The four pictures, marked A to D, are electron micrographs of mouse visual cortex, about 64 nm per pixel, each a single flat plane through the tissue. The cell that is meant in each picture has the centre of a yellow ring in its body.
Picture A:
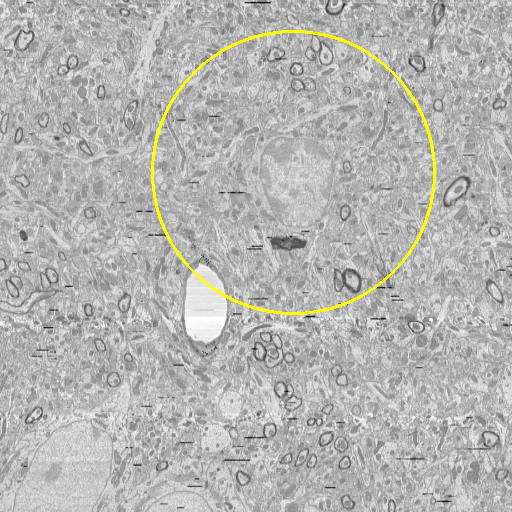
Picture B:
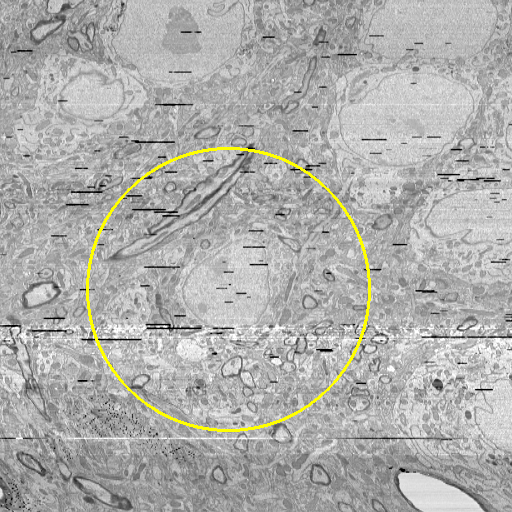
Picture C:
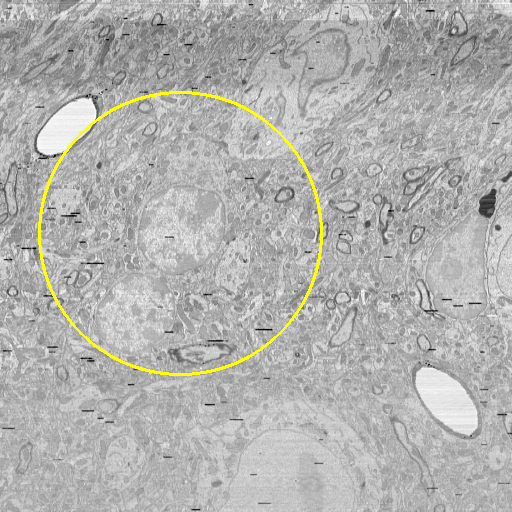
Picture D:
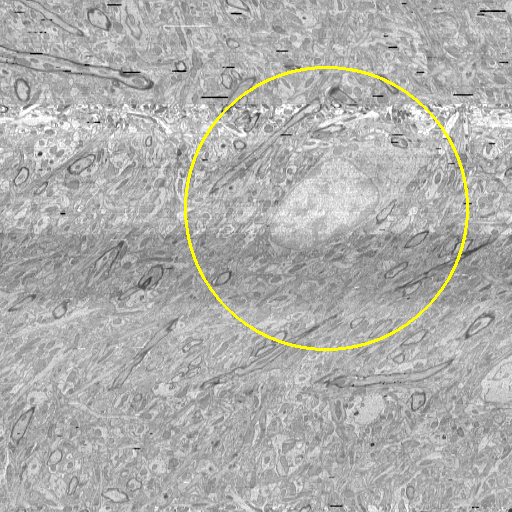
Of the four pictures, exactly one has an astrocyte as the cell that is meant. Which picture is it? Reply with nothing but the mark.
B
